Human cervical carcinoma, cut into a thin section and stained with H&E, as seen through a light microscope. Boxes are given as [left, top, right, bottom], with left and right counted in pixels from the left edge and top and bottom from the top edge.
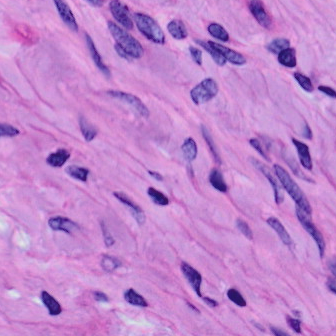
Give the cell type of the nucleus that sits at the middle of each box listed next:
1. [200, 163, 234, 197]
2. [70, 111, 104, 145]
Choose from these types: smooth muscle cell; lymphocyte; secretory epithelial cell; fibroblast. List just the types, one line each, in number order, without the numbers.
lymphocyte
fibroblast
